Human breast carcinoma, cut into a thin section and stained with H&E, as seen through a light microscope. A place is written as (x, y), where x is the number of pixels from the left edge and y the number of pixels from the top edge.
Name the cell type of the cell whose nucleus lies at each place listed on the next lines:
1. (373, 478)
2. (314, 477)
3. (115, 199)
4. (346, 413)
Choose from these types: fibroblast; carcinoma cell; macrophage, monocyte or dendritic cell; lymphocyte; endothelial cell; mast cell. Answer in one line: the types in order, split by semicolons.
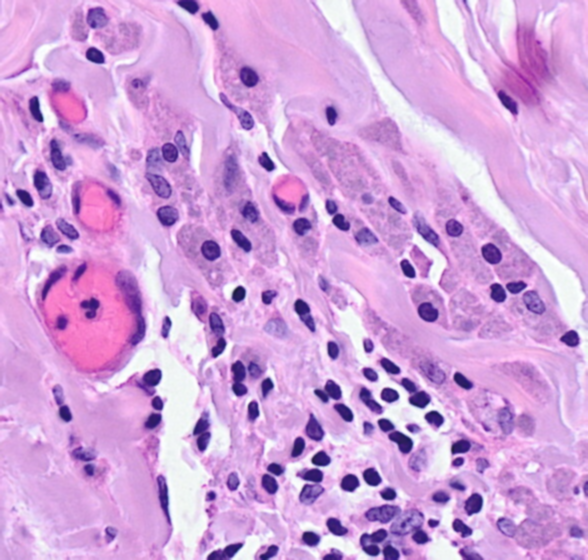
lymphocyte; lymphocyte; endothelial cell; lymphocyte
